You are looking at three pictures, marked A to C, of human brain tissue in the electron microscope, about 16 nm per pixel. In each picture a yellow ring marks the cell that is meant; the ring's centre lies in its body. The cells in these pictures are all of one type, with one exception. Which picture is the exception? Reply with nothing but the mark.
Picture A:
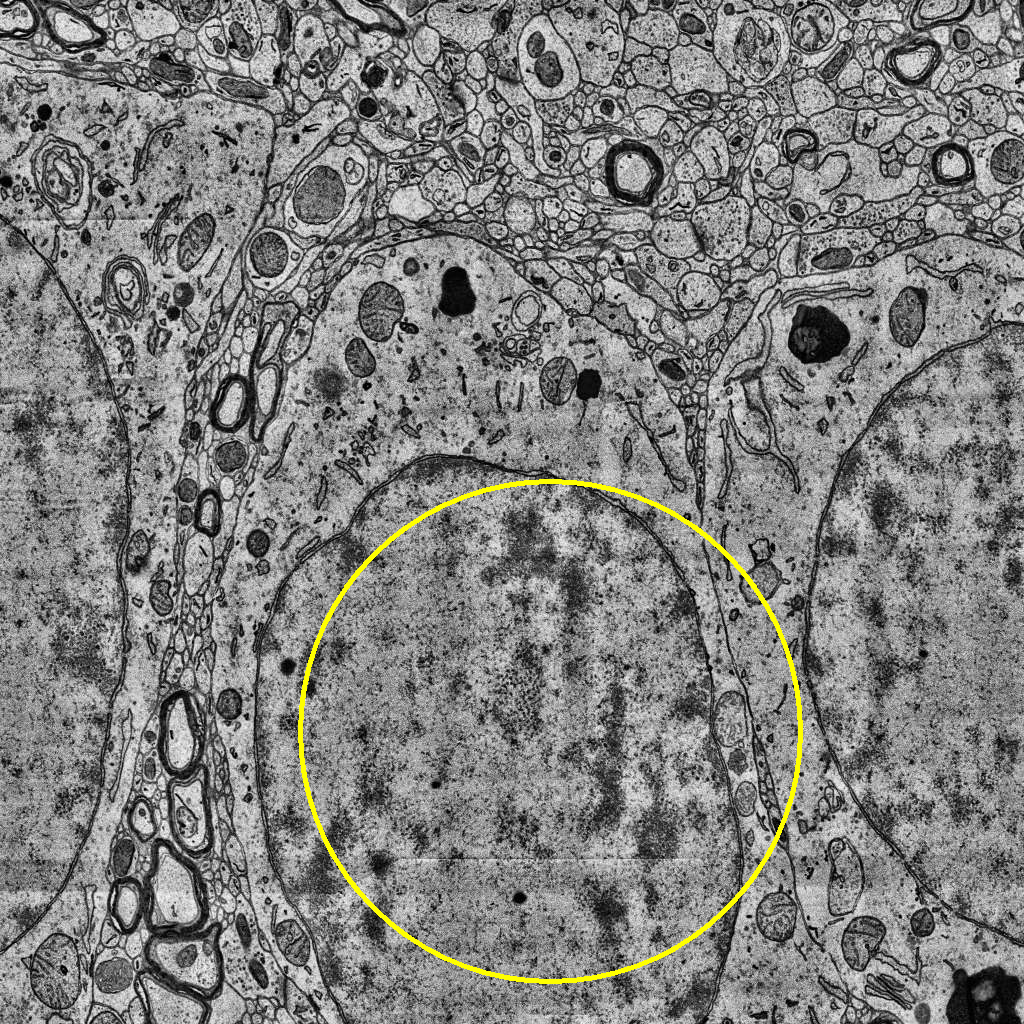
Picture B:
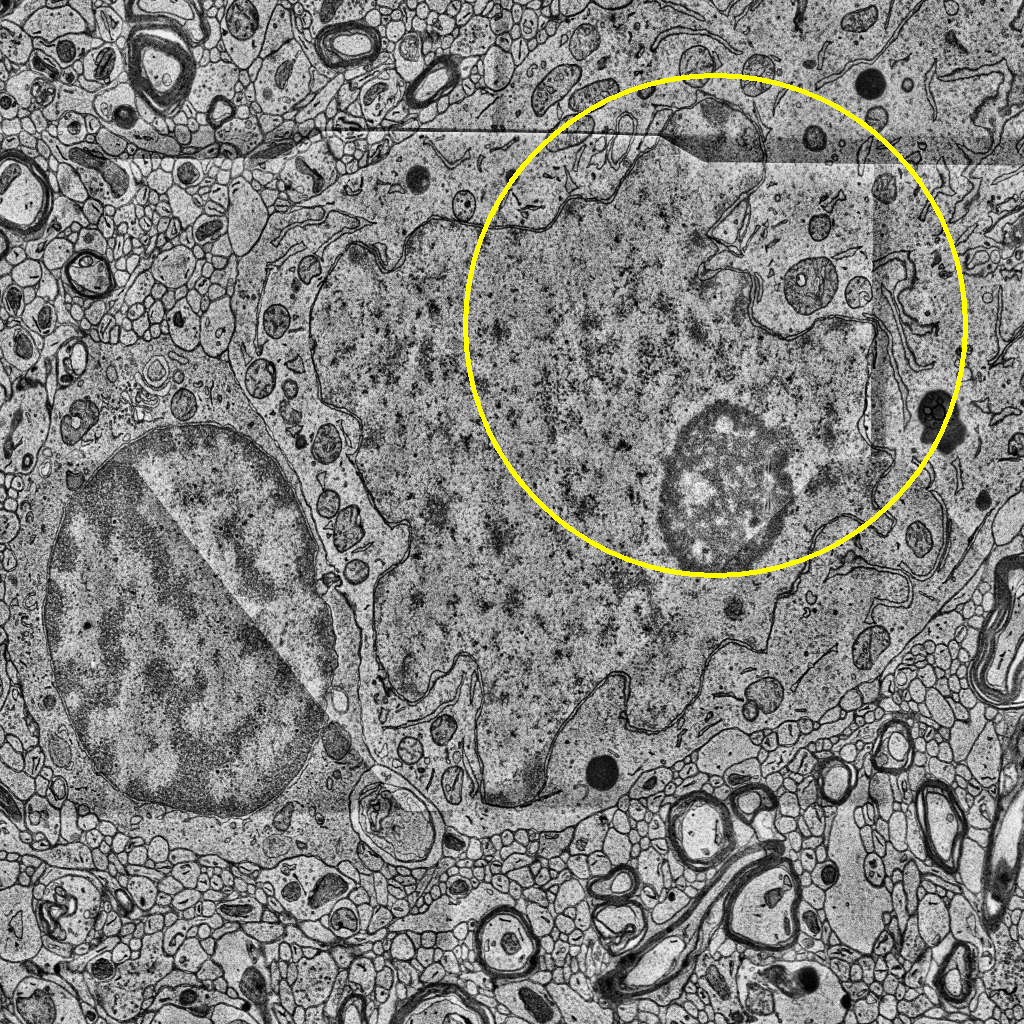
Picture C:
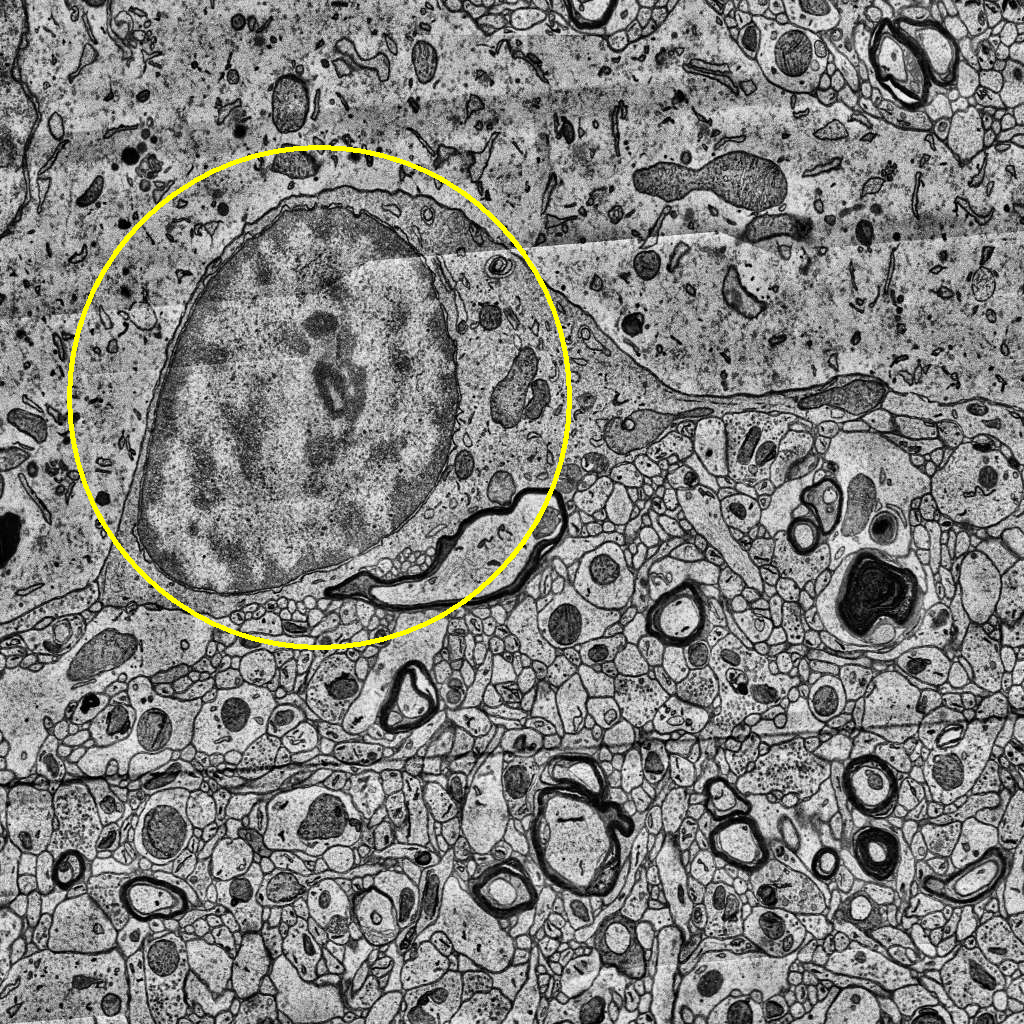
C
